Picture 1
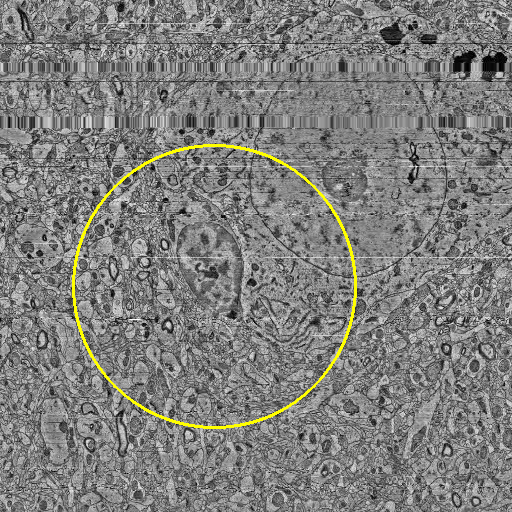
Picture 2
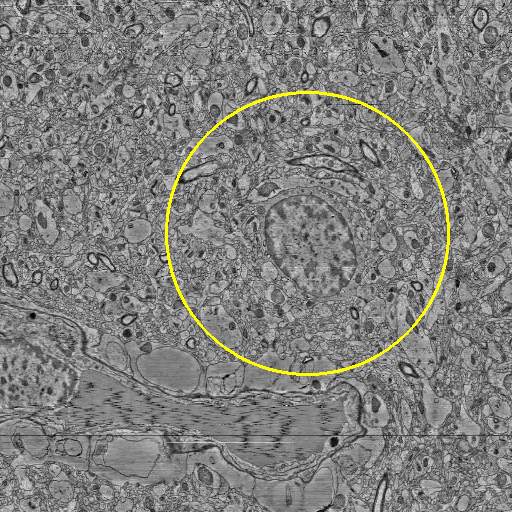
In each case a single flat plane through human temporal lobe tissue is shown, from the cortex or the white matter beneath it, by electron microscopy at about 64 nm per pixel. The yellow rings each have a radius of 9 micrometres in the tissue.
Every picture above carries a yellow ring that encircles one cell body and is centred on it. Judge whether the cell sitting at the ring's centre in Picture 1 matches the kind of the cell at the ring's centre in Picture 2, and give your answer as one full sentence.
Yes, the cells centred in the rings of Pictures 1 and 2 belong to one kind.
